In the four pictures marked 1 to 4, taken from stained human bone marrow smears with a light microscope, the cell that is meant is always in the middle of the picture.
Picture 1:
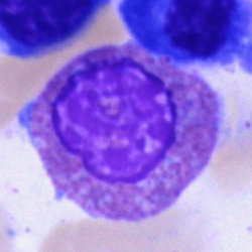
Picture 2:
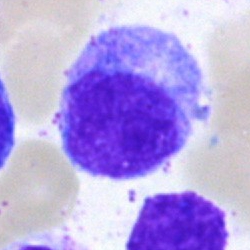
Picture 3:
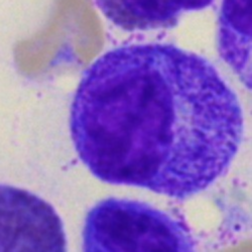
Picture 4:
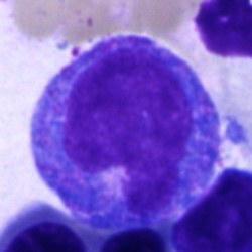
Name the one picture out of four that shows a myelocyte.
2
